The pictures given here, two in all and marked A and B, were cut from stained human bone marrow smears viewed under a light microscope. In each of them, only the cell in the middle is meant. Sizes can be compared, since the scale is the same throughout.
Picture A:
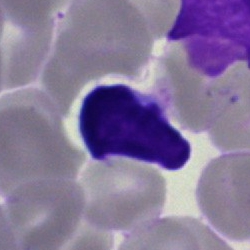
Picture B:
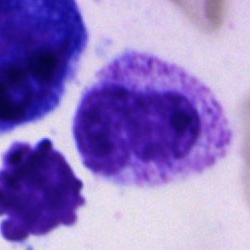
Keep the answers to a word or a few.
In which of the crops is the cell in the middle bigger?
B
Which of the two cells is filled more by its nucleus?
A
